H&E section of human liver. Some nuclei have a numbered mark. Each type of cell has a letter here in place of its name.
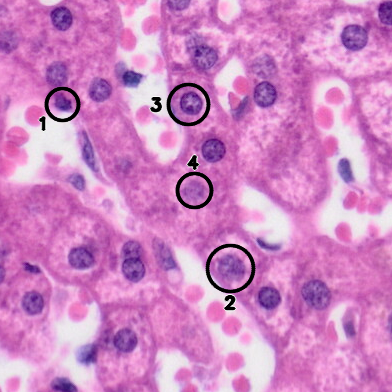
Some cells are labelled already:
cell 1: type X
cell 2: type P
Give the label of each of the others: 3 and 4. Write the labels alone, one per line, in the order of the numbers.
type P
type P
